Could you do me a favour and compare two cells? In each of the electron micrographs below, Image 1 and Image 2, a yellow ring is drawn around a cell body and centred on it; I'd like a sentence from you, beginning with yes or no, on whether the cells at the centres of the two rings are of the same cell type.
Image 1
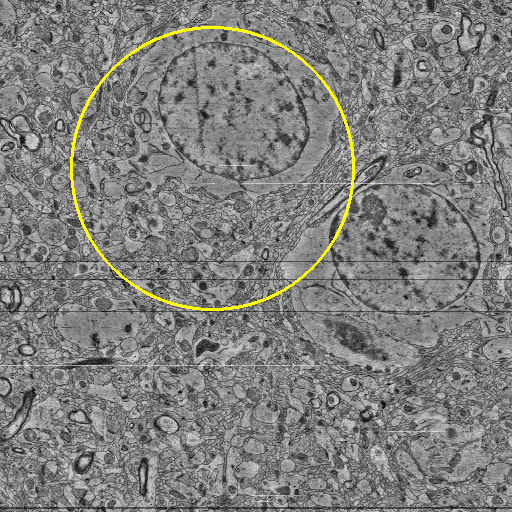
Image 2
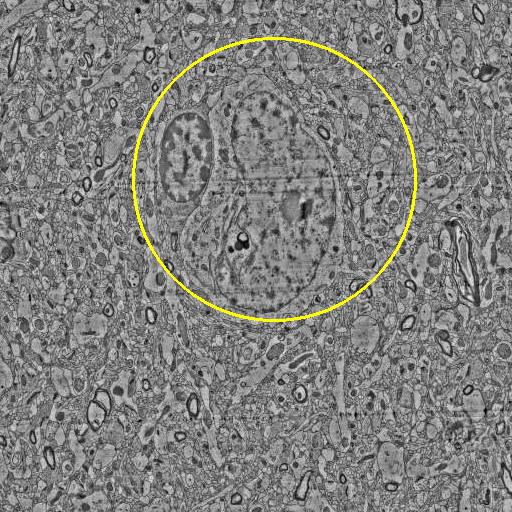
No, the two cells are of two cell types.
